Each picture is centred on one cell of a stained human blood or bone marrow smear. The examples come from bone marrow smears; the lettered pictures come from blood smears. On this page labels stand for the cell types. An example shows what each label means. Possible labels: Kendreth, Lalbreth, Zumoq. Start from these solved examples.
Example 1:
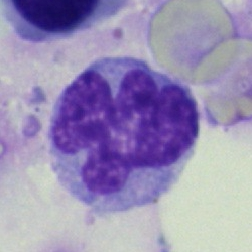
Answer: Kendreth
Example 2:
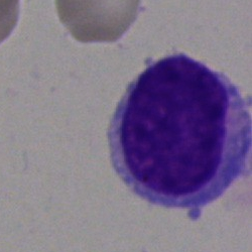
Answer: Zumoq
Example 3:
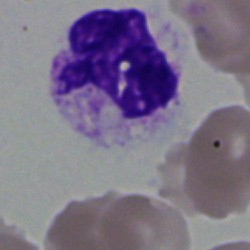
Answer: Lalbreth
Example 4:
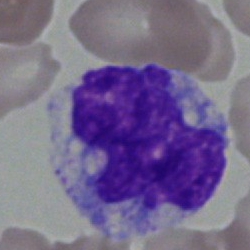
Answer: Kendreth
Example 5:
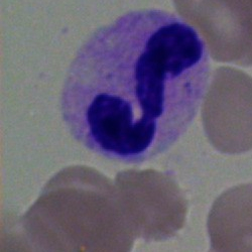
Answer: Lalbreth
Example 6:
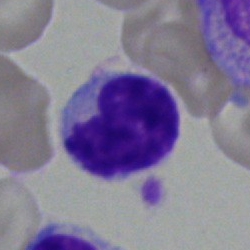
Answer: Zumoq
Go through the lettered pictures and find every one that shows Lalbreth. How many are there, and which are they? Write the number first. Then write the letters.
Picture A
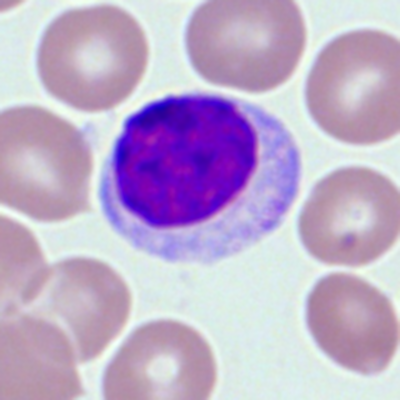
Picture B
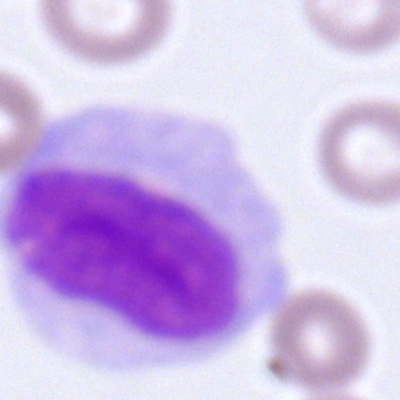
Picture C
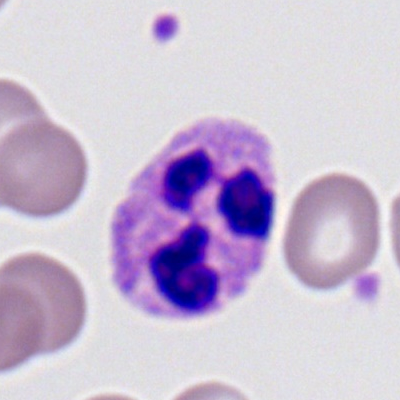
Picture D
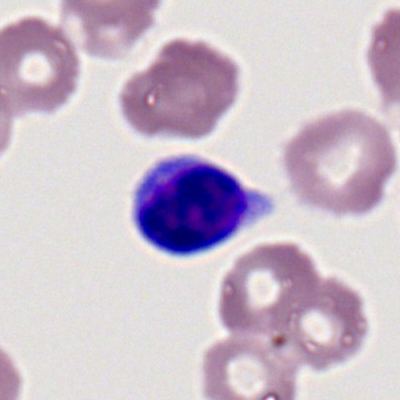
1: C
